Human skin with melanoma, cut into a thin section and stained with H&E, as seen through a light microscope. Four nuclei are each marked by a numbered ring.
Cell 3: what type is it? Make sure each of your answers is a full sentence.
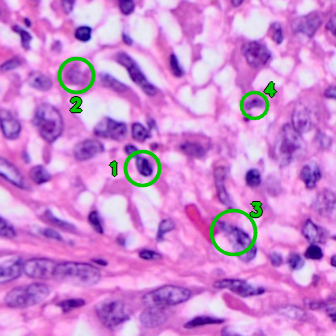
Here, the cell given the number 3 is an endothelial cell.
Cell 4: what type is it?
The numeral 4 marks a macrophage or monocyte in this section.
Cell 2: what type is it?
The cell indicated with the number 2 is classed as a melanoma cell.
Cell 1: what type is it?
Cell 1 in the field is a lymphocyte.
